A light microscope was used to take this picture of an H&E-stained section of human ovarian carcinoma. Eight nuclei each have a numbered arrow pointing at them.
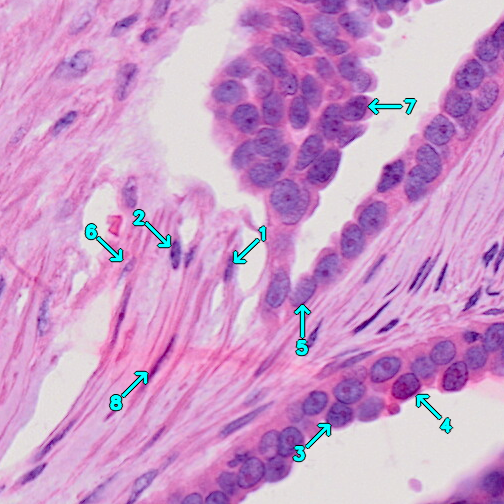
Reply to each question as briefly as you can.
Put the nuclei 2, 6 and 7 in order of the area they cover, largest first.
7, 2, 6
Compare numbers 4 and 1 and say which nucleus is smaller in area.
1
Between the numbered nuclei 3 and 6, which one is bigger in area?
3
